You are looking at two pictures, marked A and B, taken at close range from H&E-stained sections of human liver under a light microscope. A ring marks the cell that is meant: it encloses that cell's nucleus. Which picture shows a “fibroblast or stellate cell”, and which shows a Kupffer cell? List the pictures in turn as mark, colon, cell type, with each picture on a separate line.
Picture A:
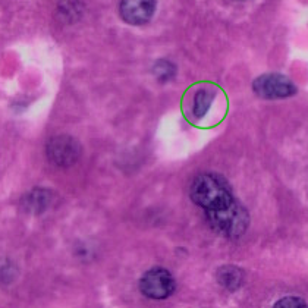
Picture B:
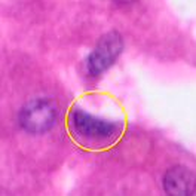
A: Kupffer cell
B: fibroblast or stellate cell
